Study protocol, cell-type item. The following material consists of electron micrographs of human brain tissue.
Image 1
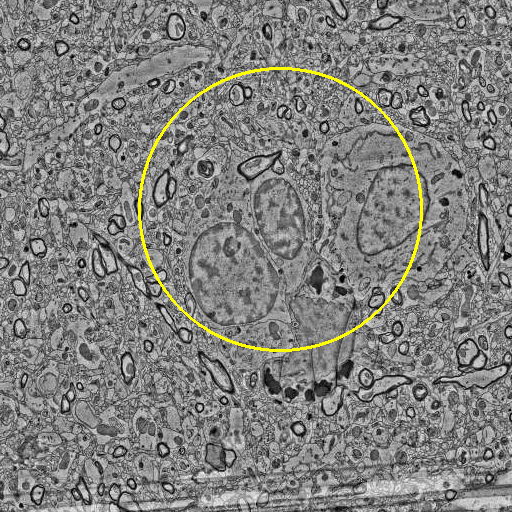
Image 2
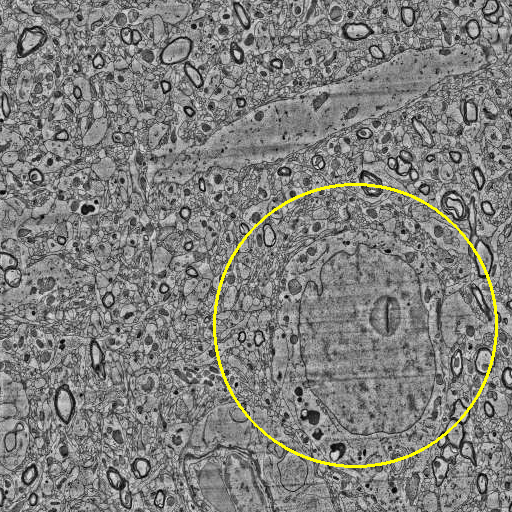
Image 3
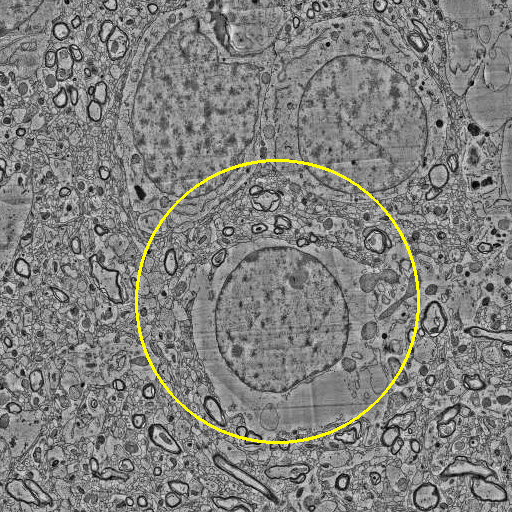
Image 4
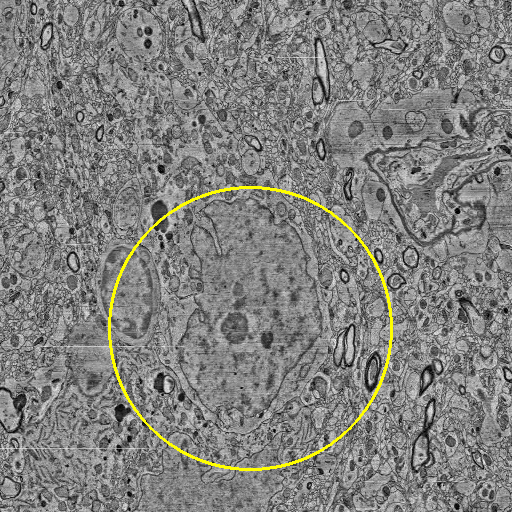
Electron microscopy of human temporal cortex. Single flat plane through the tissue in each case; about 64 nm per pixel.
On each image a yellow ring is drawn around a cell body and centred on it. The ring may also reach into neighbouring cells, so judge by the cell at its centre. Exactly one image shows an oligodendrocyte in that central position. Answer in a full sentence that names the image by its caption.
The cell at the centre of the ring in Image 1 is of that kind.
